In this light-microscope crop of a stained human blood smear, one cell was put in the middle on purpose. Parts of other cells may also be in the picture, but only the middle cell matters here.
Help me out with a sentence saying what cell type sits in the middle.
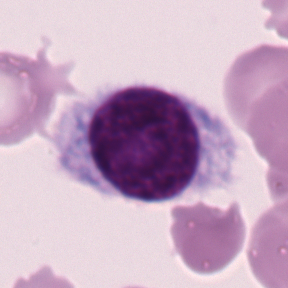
The central element of this crop is a cell, namely a hairy cell.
